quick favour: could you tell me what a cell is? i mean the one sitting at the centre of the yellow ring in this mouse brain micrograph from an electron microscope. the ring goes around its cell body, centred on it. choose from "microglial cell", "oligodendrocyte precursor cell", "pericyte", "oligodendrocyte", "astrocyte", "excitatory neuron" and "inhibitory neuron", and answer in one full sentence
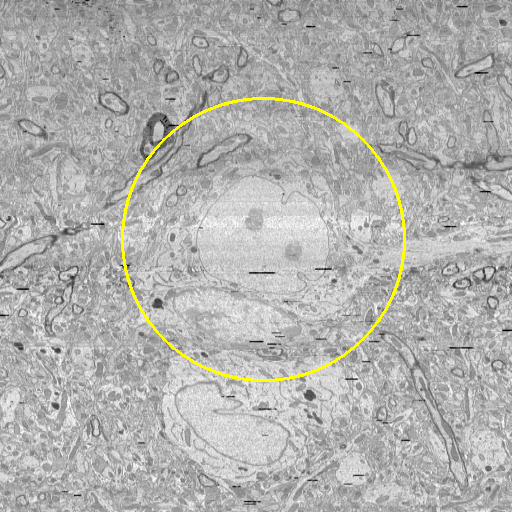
That's an excitatory neuron, the cell sitting at the centre of the yellow ring.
